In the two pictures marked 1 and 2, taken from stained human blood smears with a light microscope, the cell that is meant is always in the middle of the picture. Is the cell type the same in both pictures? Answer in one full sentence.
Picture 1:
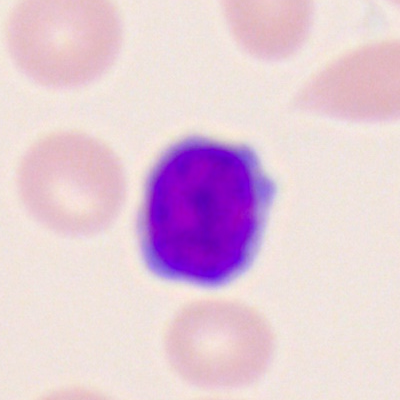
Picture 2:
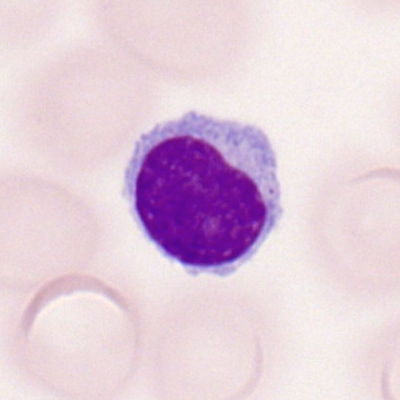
Yes; the cells in both pictures are lymphocytes.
